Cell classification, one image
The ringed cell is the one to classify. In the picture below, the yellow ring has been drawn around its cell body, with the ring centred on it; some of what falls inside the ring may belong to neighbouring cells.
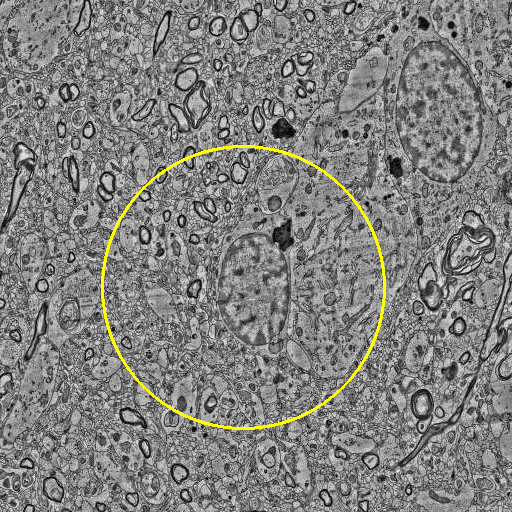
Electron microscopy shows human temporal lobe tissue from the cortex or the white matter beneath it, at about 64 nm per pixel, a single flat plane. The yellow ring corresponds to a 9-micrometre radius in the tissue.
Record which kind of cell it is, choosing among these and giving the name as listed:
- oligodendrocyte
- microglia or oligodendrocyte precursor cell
oligodendrocyte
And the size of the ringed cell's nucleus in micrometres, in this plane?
The nucleus of the ringed cell is clearly longer than it is wide in this plane, about 7 by 4 micrometres.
